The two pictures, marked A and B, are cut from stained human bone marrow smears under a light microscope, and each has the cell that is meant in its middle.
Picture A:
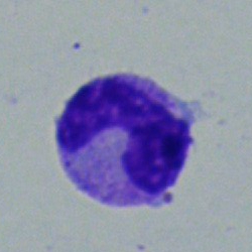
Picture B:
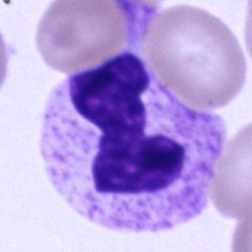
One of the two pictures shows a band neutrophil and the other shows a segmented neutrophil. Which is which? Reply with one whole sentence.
Picture A shows a band neutrophil and picture B shows a segmented neutrophil.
